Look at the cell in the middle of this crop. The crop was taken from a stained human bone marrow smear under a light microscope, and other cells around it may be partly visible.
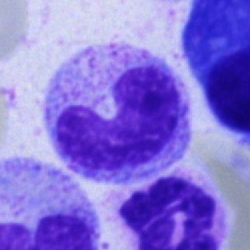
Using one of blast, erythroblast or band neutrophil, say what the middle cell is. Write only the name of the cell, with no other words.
band neutrophil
